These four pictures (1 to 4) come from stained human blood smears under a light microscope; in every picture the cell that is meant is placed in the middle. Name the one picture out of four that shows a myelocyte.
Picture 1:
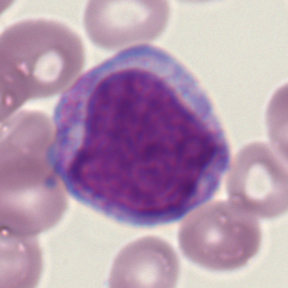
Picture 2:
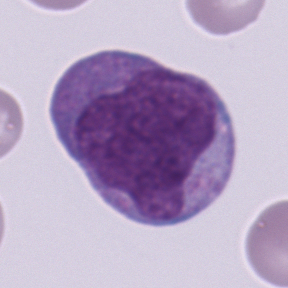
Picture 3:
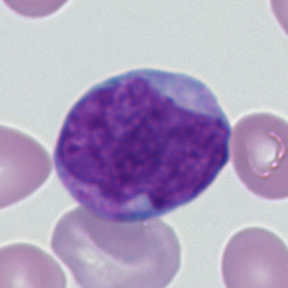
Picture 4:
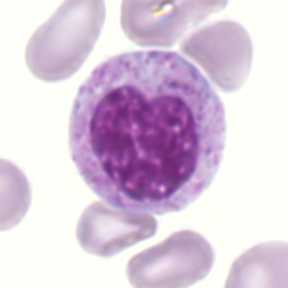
4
